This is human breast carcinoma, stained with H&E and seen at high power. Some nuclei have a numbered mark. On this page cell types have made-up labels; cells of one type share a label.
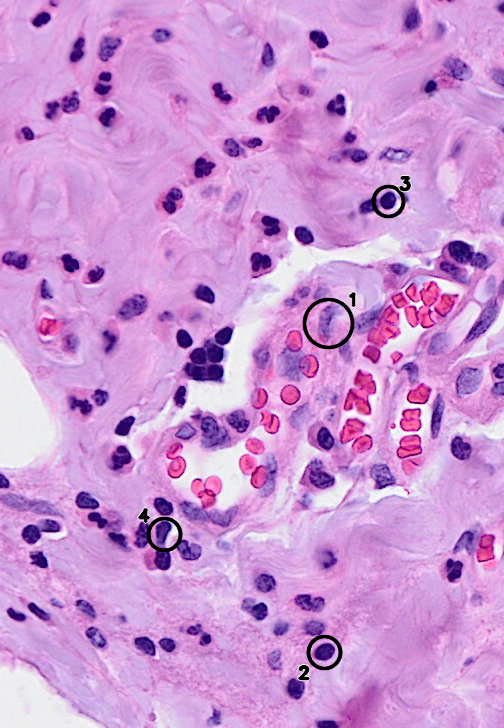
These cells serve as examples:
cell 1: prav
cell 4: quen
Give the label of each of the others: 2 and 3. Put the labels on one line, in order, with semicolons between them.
quen; quen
